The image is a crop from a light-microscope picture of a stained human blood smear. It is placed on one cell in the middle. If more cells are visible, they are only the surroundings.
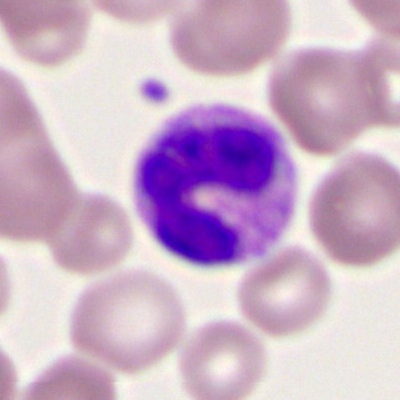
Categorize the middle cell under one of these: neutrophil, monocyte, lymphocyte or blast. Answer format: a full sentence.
Seen at the centre of the crop is a neutrophil.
